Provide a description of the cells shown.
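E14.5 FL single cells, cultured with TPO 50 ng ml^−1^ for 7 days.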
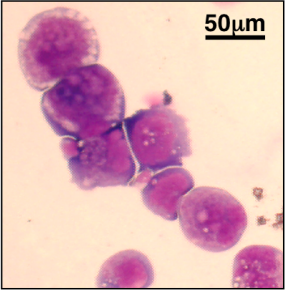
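Several very large megakaryocytes lie side by side in a short chain, each roughly as wide as the 50 μm scale bar. Small pale vacuole-like spots are visible in some cells.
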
